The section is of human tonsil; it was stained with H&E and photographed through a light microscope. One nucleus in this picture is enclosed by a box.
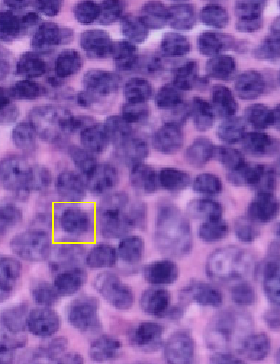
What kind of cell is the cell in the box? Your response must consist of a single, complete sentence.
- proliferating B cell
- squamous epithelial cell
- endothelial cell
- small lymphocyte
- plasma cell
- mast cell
In this section of tissue, the cell in the box is a proliferating B cell.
